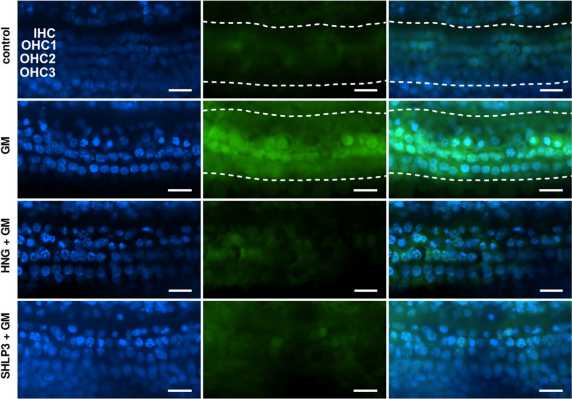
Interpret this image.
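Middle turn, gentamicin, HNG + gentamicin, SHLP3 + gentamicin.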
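In the second strip the green fluorescence is strong and fills the hair cell region between the white dashed lines, with brighter spots over individual cells. In the first, third and fourth strips the green fluorescence is dim and diffuse. In the merged images the strongly green region of the second strip overlies the rows of blue nuclei.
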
